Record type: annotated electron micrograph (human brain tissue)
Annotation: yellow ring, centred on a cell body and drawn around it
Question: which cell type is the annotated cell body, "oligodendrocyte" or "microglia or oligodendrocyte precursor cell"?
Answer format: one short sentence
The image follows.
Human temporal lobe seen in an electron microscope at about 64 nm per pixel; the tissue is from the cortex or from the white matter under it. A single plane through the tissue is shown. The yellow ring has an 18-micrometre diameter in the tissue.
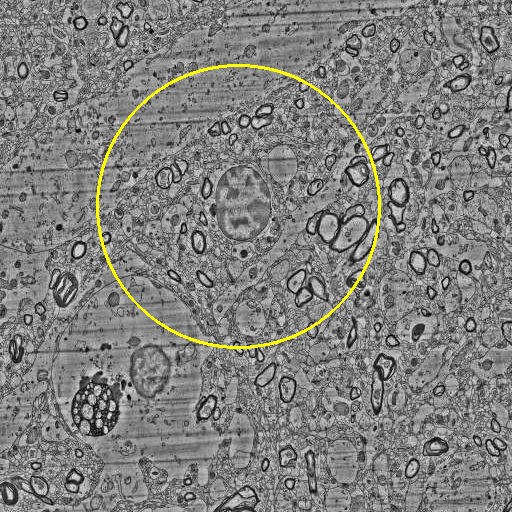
The annotated cell body is that of a microglial cell or oligodendrocyte precursor cell.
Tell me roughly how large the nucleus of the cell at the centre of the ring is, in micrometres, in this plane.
The nucleus works out at approximately 5 by 4 micrometres in this plane.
